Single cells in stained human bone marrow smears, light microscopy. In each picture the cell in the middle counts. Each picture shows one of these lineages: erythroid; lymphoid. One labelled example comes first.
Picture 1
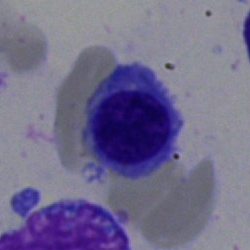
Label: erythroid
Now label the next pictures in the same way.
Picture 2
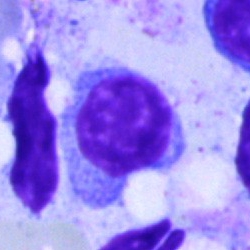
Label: lymphoid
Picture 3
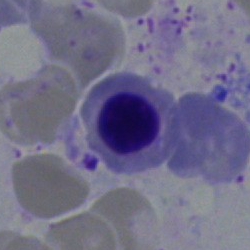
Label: erythroid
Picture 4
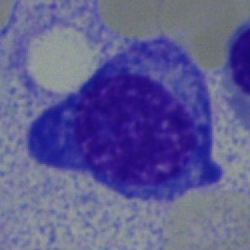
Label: lymphoid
